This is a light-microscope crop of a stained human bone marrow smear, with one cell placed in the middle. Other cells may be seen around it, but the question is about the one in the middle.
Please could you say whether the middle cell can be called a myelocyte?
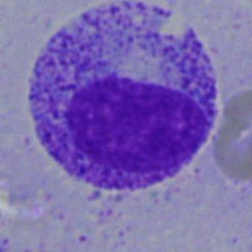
yes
